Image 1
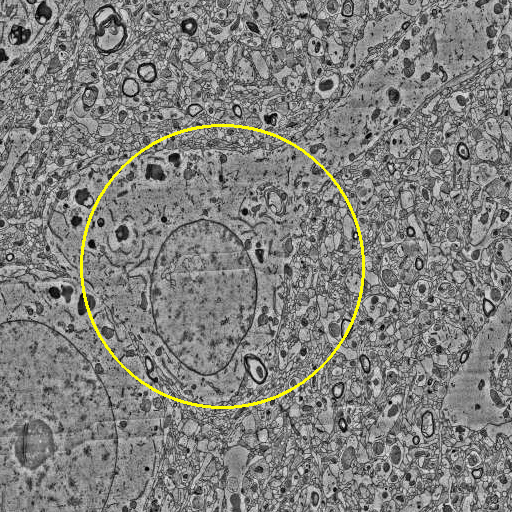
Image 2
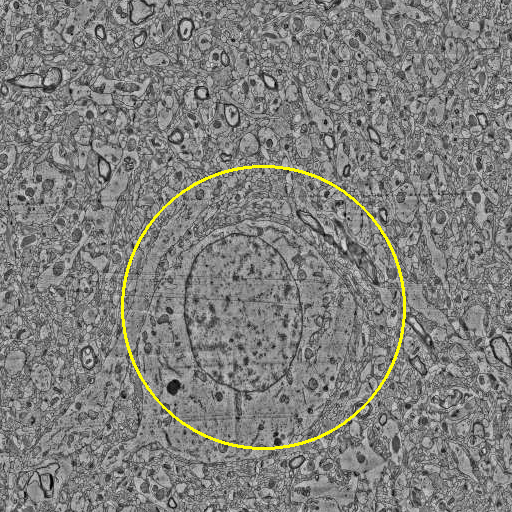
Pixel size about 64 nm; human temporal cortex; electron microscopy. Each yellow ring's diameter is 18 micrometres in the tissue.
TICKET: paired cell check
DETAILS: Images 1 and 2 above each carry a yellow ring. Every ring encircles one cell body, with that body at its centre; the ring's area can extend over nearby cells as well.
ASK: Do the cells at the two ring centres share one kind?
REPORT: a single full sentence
Yes, the ring-centre cells of Images 1 and 2 belong to a single kind.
